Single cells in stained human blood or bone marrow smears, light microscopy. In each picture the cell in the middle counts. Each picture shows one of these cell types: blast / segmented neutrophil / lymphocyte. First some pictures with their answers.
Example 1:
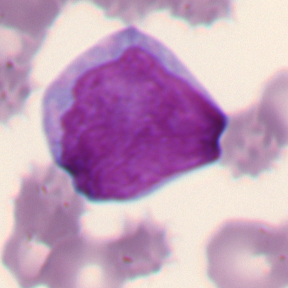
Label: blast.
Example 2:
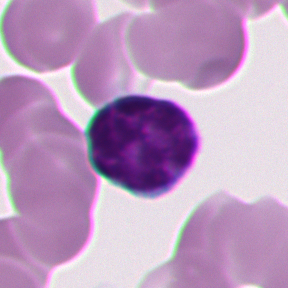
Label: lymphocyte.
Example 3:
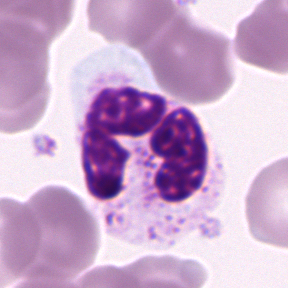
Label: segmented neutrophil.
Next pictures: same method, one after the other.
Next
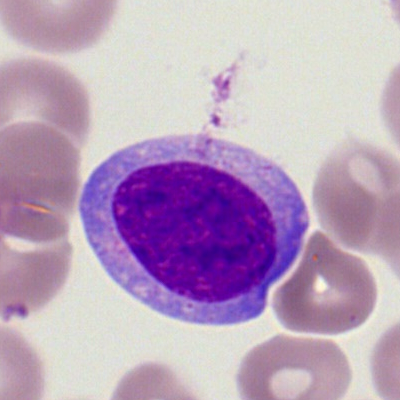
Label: blast.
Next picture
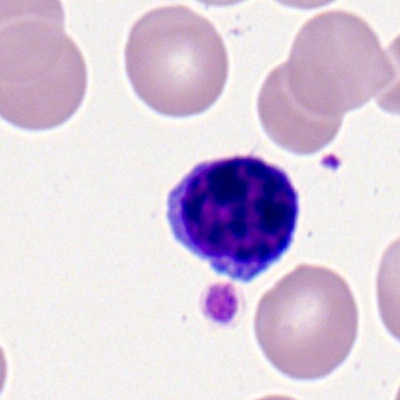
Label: lymphocyte.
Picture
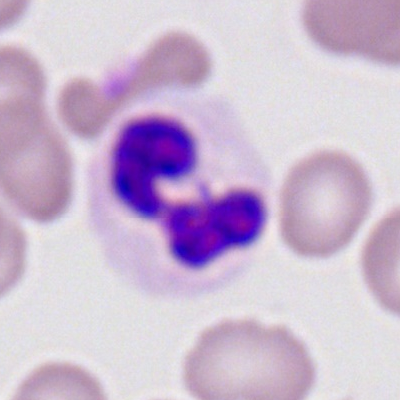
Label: segmented neutrophil.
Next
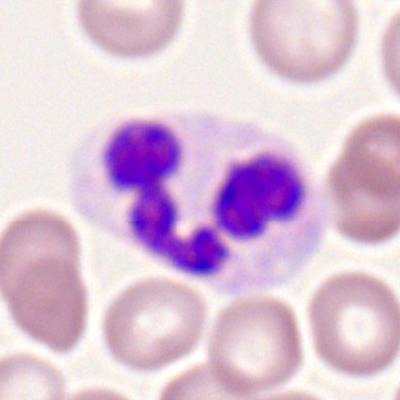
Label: segmented neutrophil.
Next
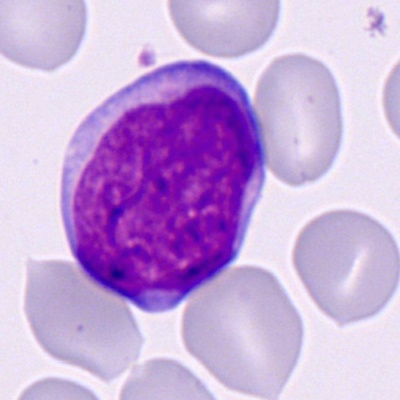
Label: blast.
